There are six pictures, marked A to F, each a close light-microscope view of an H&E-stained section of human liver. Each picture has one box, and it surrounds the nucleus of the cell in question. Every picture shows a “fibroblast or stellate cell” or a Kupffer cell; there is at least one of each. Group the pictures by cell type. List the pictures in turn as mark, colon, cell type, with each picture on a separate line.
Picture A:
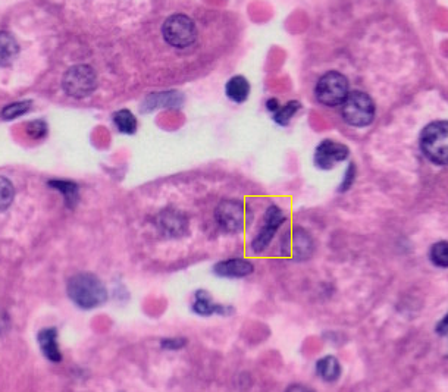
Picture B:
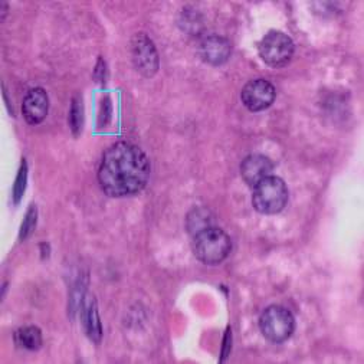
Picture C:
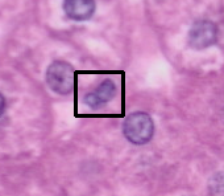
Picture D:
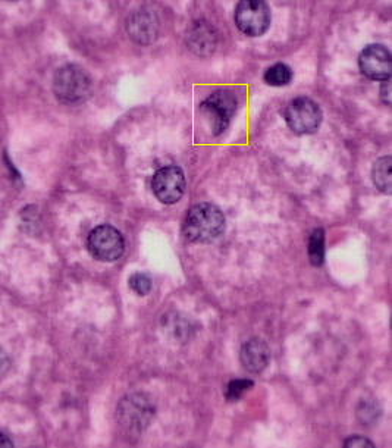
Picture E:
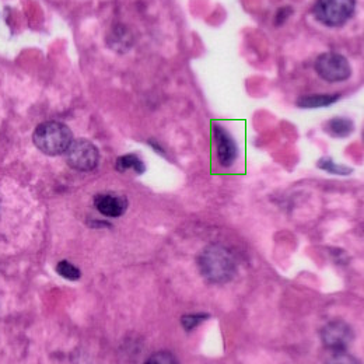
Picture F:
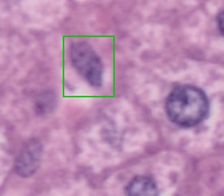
A: fibroblast or stellate cell
B: fibroblast or stellate cell
C: fibroblast or stellate cell
D: Kupffer cell
E: fibroblast or stellate cell
F: Kupffer cell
